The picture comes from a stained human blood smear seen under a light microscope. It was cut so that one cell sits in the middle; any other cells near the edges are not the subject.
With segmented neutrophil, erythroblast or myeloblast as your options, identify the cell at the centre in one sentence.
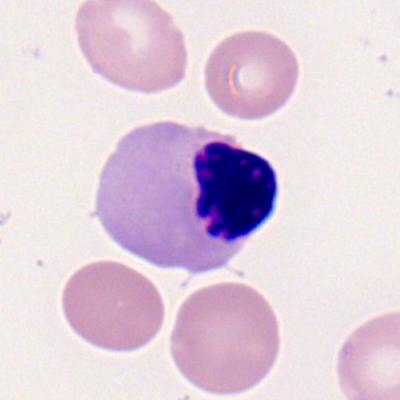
The centrally placed cell is classified as an erythroblast.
